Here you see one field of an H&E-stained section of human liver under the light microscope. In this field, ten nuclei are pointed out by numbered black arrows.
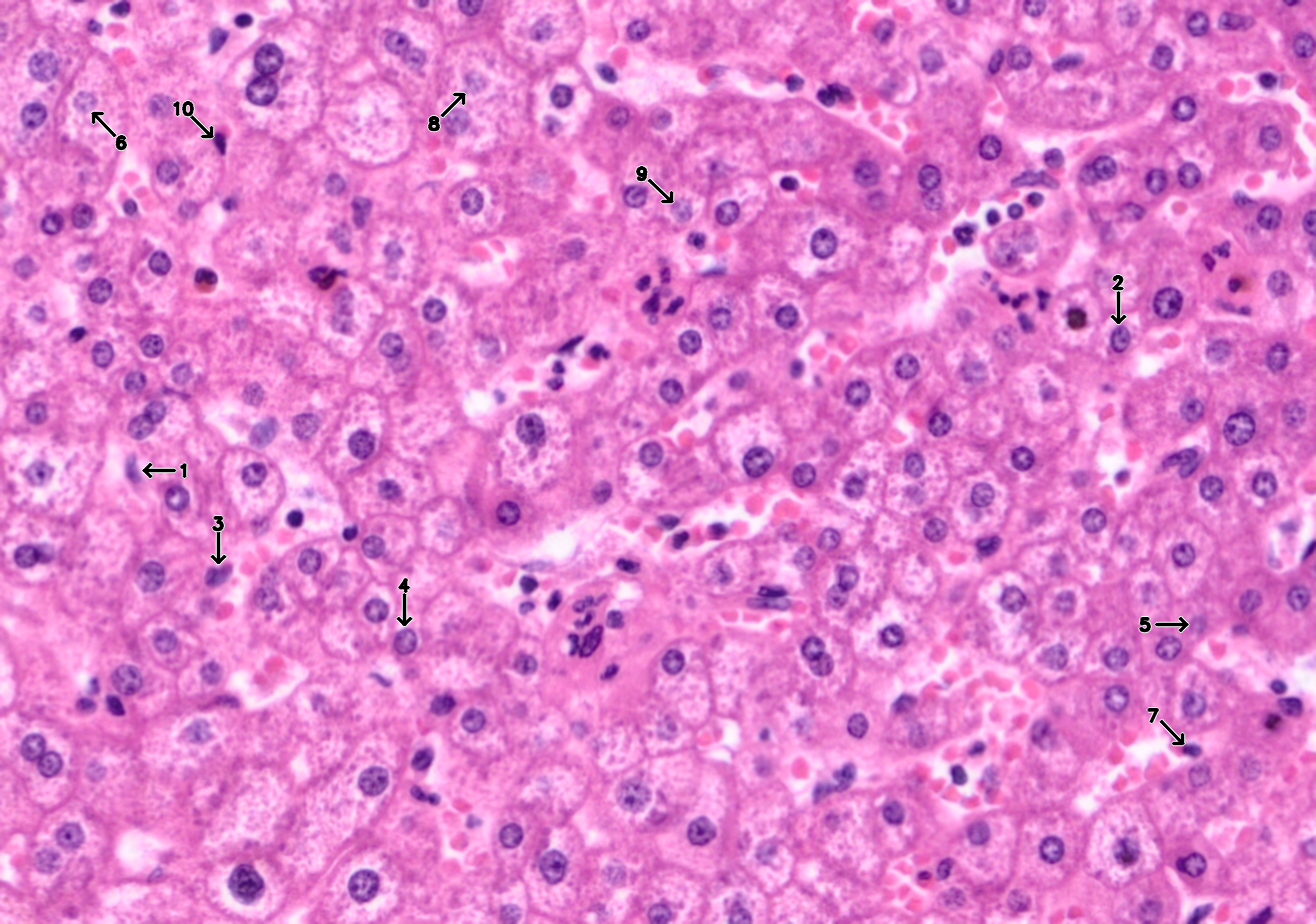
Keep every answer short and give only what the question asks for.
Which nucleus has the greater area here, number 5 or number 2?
2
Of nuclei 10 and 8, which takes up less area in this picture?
10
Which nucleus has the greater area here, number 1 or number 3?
3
